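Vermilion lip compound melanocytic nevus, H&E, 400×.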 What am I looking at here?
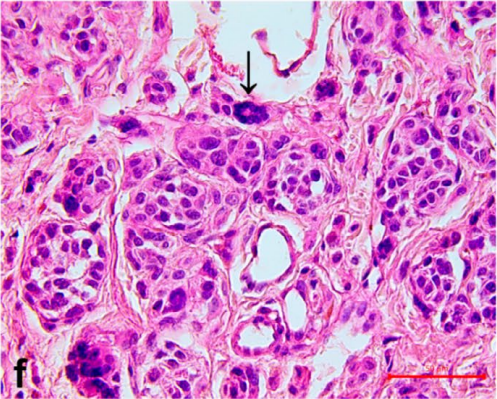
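The nests are surrounded by fine pink collagen strands and some contain small clefts. The cells have round, dark purple nuclei of somewhat varying size and shape, showing mild pleomorphism, with moderate pink cytoplasm. Among them are multinucleated cells in which several nuclei cluster together, the floret cells. No brown pigment is obvious in this field.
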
